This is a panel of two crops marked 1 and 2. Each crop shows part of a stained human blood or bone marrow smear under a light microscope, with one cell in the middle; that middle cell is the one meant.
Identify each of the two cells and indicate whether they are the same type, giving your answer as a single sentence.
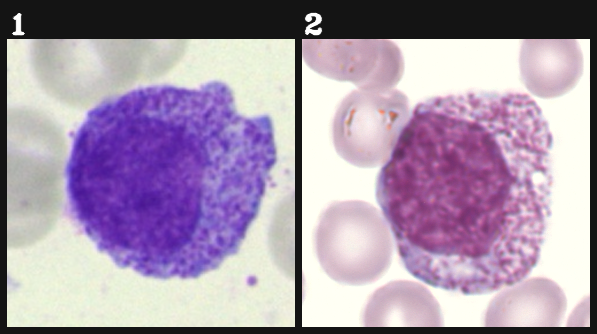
Yes, in the two crops, promyelocytes are the cells at the centre.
